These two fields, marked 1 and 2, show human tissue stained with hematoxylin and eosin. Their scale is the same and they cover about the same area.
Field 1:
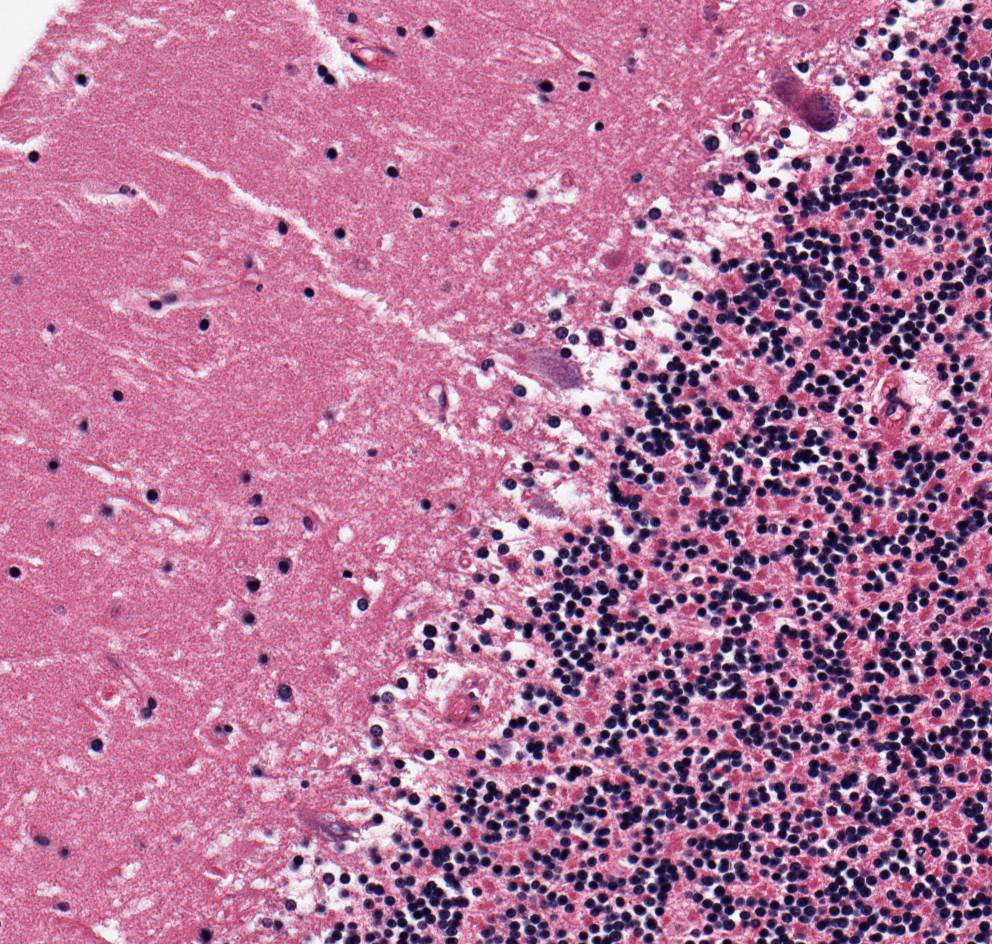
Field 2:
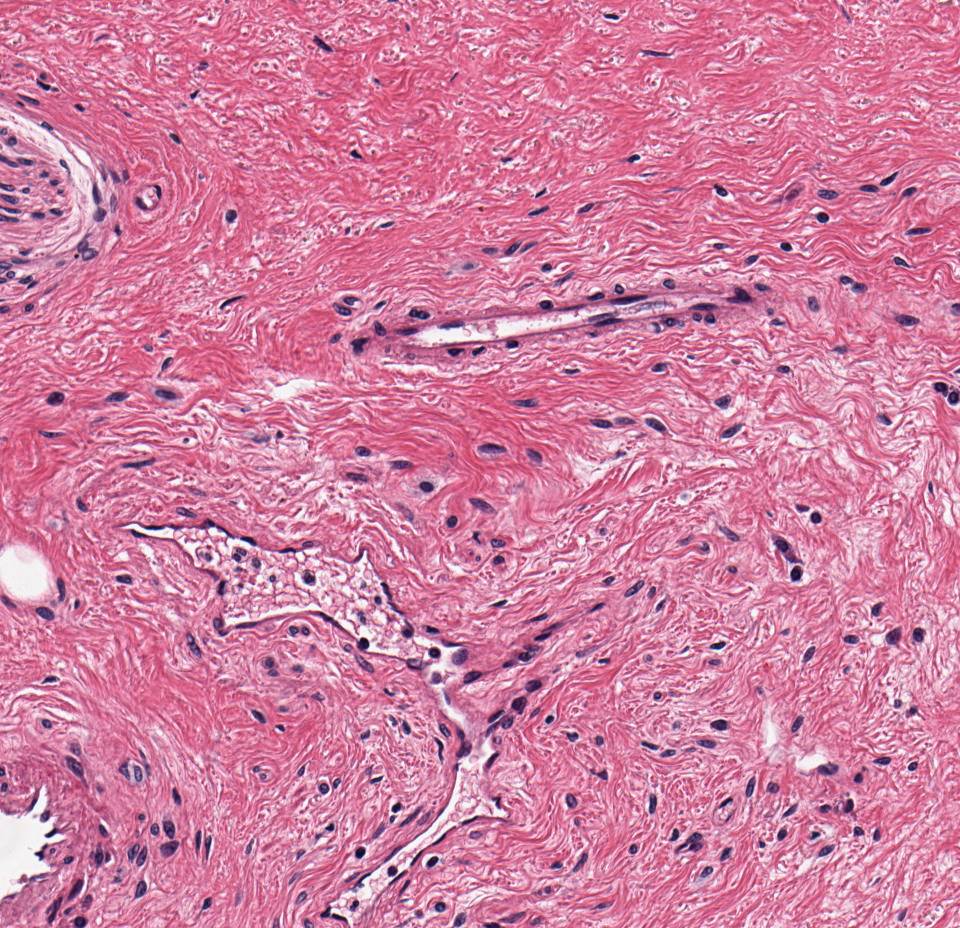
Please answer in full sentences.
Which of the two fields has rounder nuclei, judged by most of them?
On the whole the nuclei of field 1 are rounder than those of field 2.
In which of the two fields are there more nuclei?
There are more nuclei in field 1.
